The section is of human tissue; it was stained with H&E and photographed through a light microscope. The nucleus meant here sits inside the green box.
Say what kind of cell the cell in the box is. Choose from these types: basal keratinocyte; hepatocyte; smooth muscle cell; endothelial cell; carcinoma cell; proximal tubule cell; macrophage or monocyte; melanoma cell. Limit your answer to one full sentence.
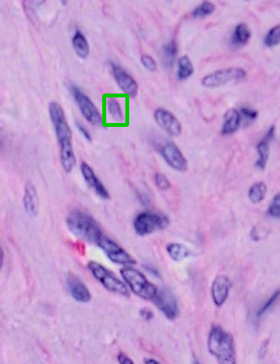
In short, the cell in the box on this section is a smooth muscle cell.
